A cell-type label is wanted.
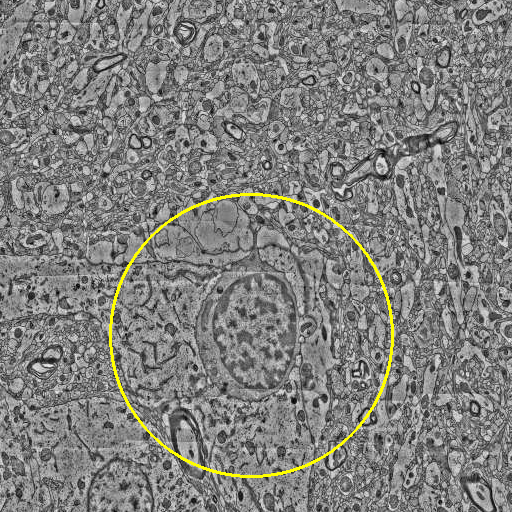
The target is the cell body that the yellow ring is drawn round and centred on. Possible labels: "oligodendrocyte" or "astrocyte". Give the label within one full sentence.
Of the labels offered, the cell in the middle of the yellow ring is an oligodendrocyte.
